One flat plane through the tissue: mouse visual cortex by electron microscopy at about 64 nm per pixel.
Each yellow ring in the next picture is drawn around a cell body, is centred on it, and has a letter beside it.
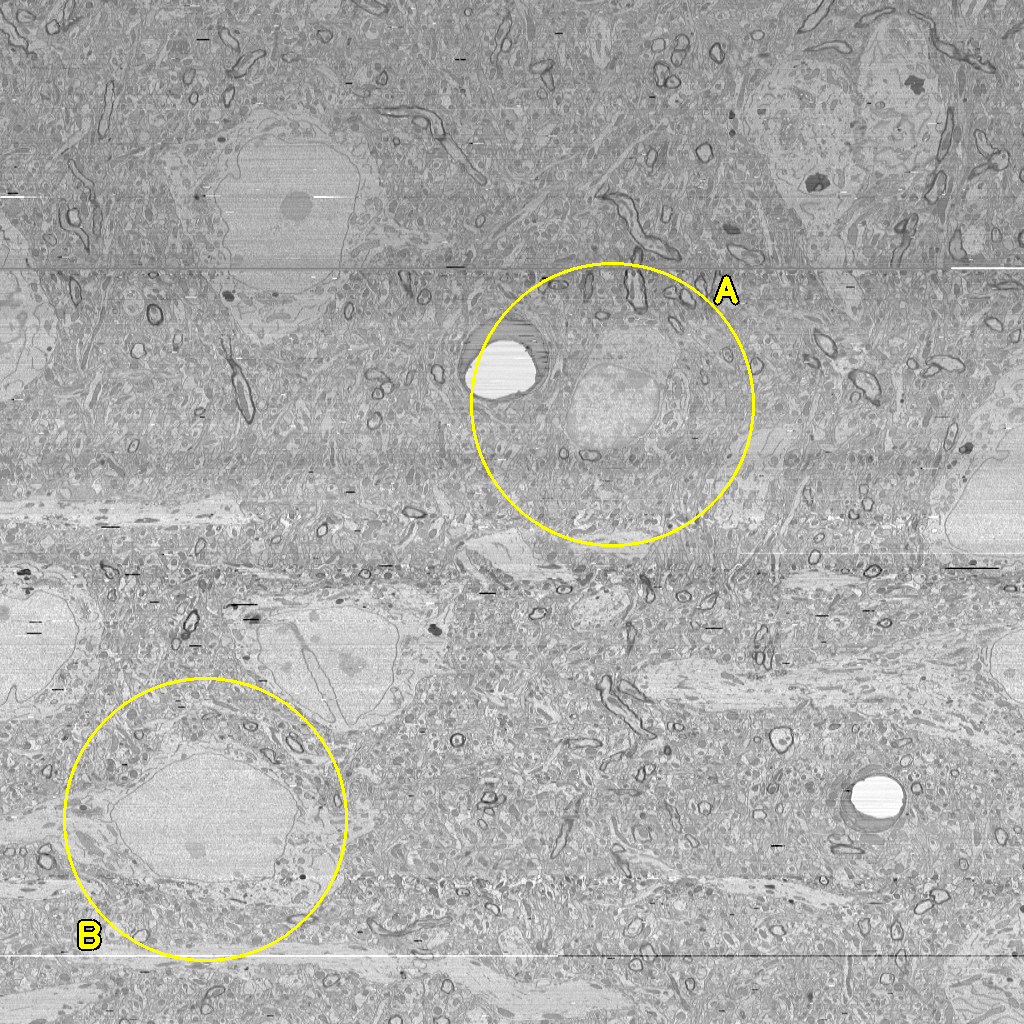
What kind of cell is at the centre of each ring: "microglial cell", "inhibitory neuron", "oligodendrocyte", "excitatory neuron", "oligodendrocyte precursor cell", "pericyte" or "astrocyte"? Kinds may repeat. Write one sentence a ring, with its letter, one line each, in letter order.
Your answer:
The centre of ring A falls on an oligodendrocyte.
The centre of ring B falls on an excitatory neuron.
